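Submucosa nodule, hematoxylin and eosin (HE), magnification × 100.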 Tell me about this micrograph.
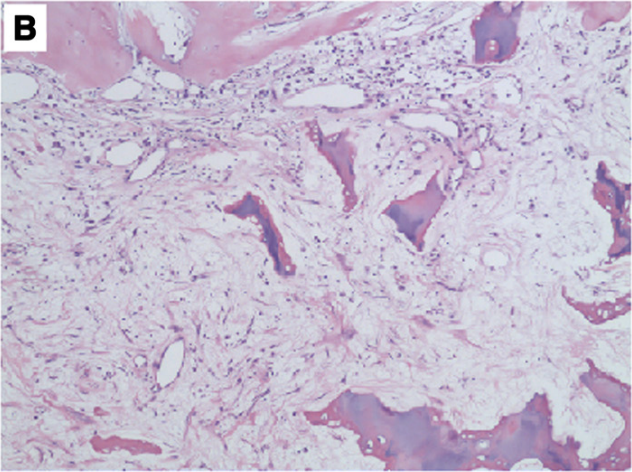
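Trabecular bone forms within loose fibrous tissue. Irregular, angular plates of dense matrix, stained pink to purple, are scattered through a pale, loosely woven stroma. The stroma holds scattered spindle-shaped and small round cells with dark nuclei, and many thin-walled, empty-looking vascular spaces. Along the top, a denser band holds more closely packed cells next to a larger pink plate of matrix. The matrix plates vary in size and outline, some branching, and they appear set freely among the fibres rather than in an orderly arrangement.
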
